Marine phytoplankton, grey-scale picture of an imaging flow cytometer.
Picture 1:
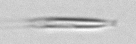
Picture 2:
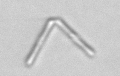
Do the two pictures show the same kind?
No: Calciosolenia, then Nanoneis.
